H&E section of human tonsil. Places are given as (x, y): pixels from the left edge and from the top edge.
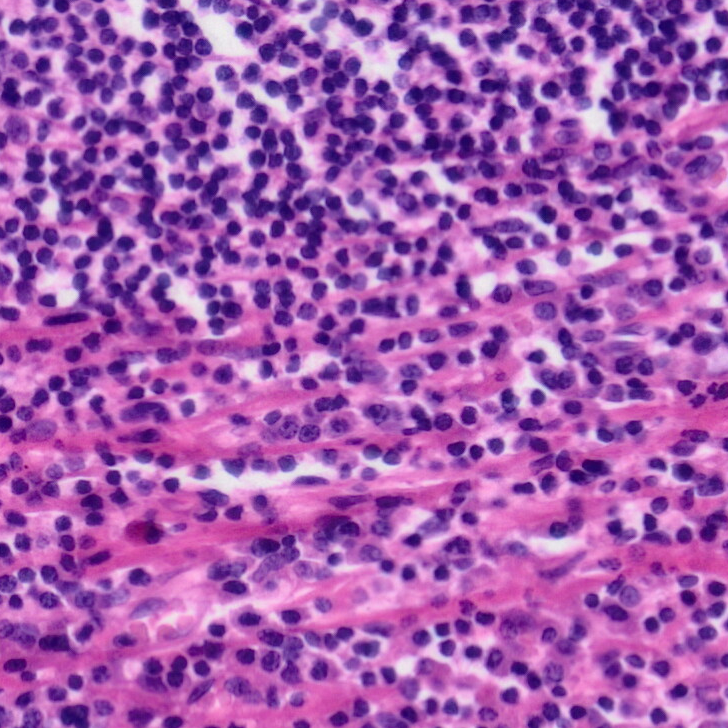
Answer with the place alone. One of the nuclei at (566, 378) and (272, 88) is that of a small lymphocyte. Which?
(272, 88)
